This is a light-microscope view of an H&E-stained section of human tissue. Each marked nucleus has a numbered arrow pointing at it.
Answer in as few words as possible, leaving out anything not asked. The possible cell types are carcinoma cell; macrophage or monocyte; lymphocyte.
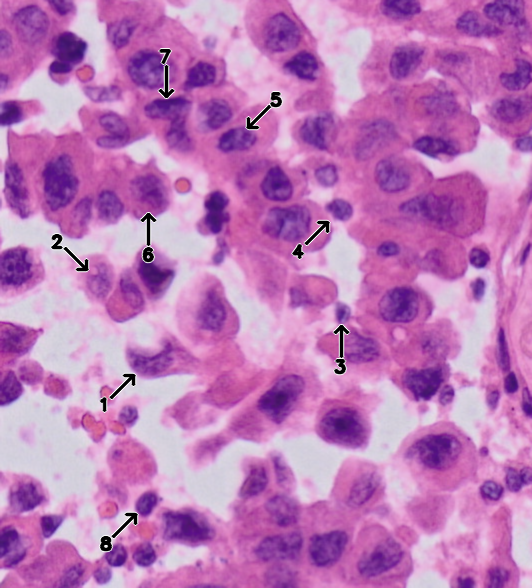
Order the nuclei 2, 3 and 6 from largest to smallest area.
6, 2, 3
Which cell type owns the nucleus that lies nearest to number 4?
macrophage or monocyte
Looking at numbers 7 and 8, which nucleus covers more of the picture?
7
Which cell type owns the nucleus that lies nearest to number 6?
carcinoma cell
